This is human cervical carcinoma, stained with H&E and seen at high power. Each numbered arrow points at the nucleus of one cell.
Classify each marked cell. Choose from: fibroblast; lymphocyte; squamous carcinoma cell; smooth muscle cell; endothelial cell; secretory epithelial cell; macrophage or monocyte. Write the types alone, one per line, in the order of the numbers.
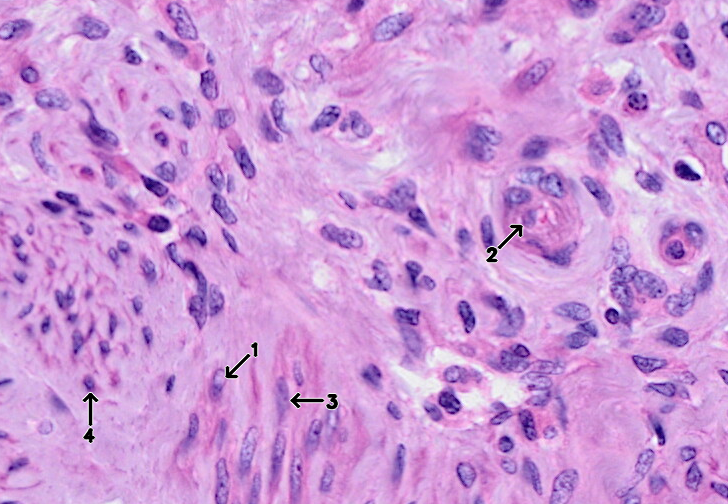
smooth muscle cell
endothelial cell
smooth muscle cell
smooth muscle cell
